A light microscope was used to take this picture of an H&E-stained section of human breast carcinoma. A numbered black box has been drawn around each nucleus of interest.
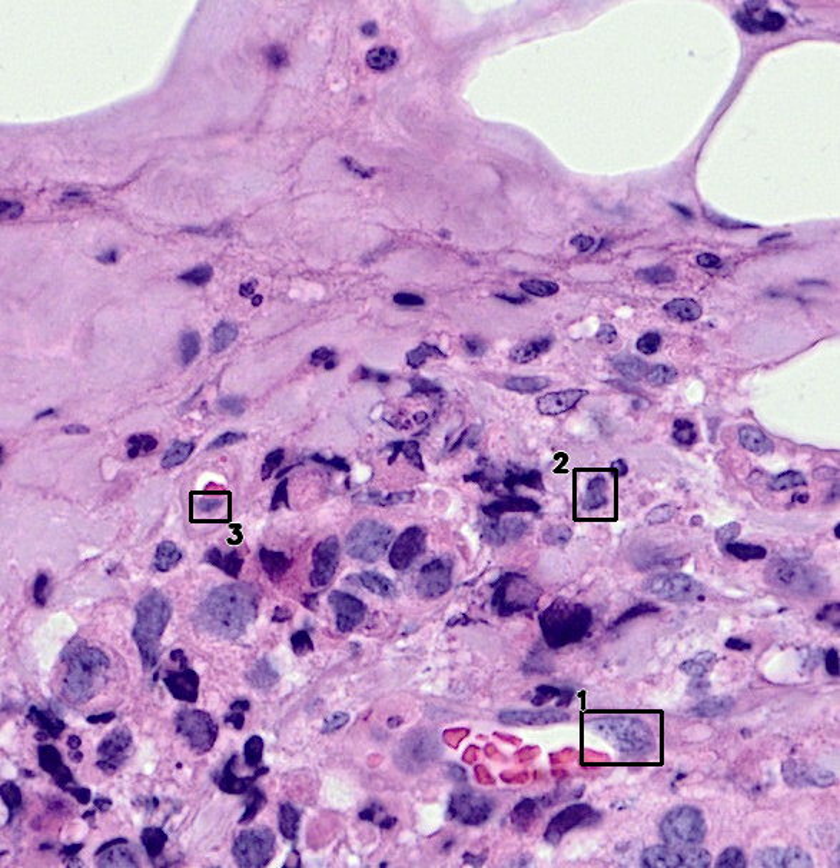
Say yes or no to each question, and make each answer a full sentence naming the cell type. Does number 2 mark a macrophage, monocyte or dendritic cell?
Yes, the cell that goes by number 2 is a macrophage, monocyte or dendritic cell.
